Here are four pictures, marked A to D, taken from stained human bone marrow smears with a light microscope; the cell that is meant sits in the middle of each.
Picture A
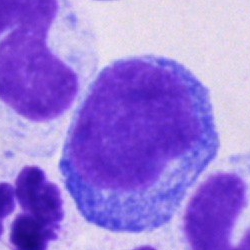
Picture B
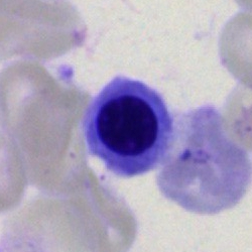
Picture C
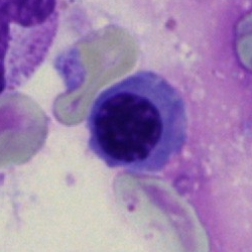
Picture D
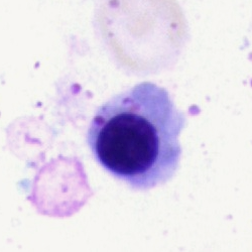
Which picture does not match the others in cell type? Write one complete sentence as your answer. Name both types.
The others show erythroblasts, but picture A shows a blast.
